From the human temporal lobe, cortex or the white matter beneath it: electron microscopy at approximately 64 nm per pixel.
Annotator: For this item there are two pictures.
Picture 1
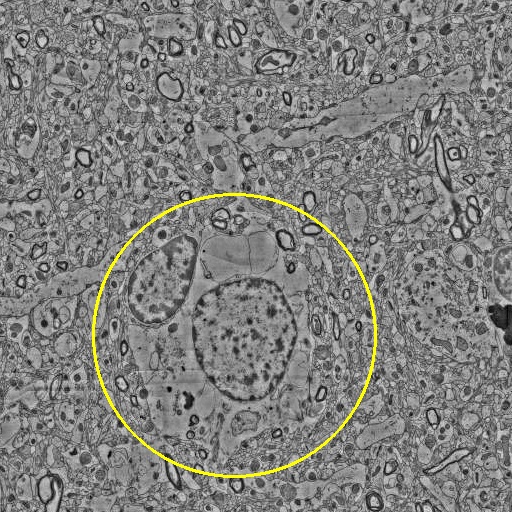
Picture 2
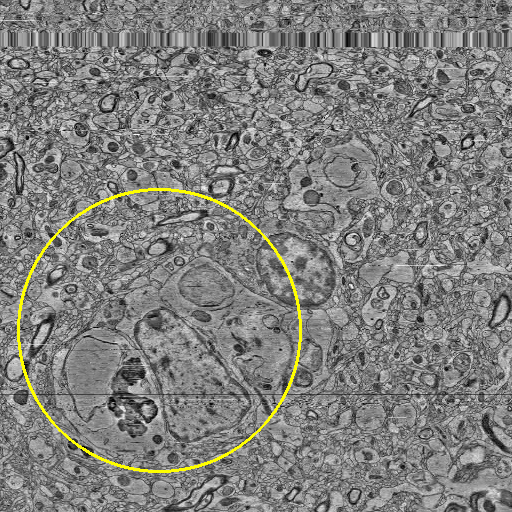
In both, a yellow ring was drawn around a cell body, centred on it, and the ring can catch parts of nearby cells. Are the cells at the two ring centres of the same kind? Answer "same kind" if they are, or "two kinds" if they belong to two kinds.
two kinds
